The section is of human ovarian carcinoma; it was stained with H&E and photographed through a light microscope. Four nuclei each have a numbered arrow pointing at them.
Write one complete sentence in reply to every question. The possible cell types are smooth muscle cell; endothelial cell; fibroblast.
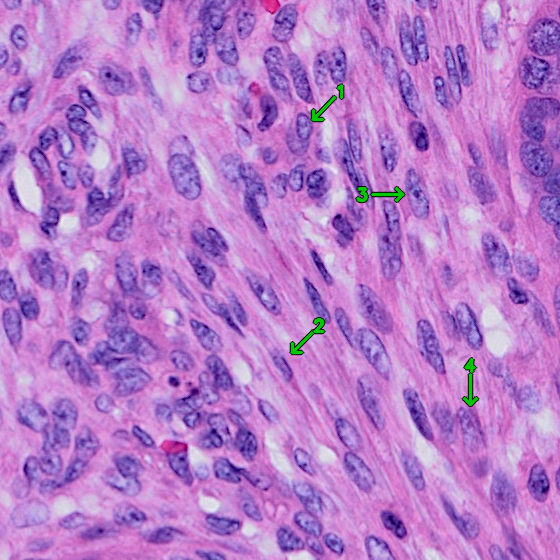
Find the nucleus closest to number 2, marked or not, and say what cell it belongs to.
The nucleus nearest to number 2 is that of a fibroblast.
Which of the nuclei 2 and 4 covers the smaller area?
With nucleus 4 about 1.5 times its size, nucleus 2 is the smaller of the two.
